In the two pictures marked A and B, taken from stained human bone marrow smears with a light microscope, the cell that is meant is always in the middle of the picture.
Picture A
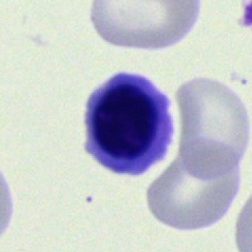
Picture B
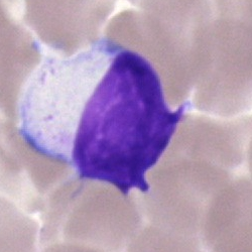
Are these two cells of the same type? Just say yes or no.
no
